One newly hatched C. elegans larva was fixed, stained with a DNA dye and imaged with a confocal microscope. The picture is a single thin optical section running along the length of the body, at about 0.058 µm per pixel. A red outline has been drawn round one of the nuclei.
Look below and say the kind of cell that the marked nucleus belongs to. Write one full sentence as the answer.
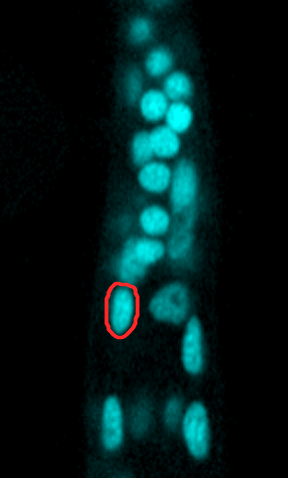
The cell with the marked nucleus is an enteric muscle cell.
